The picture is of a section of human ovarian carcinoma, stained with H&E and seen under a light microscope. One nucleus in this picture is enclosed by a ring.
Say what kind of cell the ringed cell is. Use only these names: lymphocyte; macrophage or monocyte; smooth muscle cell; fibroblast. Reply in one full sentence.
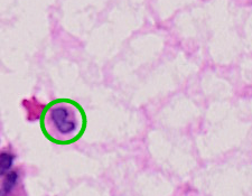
The classification of the ringed cell is as a macrophage or monocyte.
